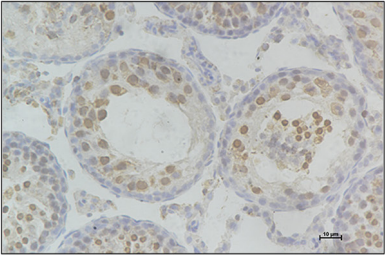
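Cross-sections of several small seminiferous tubules of the testis are seen, separated by wide, pale interstitial spaces. Each tubule is bounded by flattened cells with blue, elongated nuclei. The germinal epithelium is thin, only one to a few cells deep, and consists of round cells whose nuclei are often brown-stained. The lumina are wide and largely empty, apart from a few loose, detached rounded cells and pale debris.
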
